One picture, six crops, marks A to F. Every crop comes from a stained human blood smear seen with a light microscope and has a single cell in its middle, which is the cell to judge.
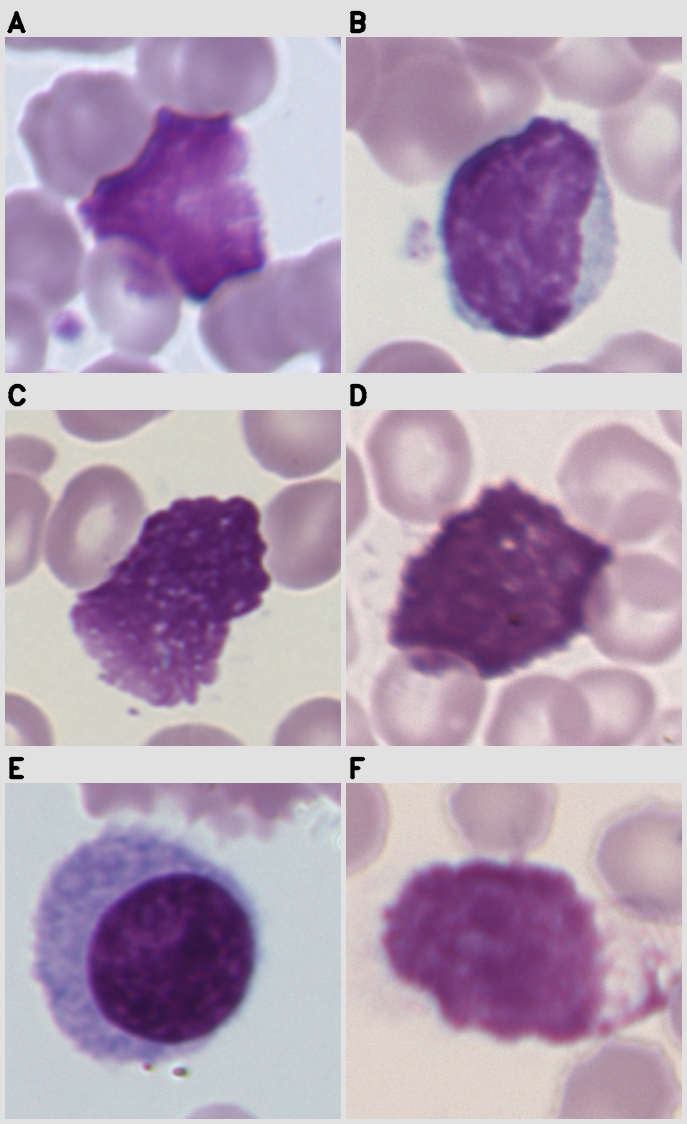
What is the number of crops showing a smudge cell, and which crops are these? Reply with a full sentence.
Overall, four of the crops show smudge cells: A, C, D and F.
